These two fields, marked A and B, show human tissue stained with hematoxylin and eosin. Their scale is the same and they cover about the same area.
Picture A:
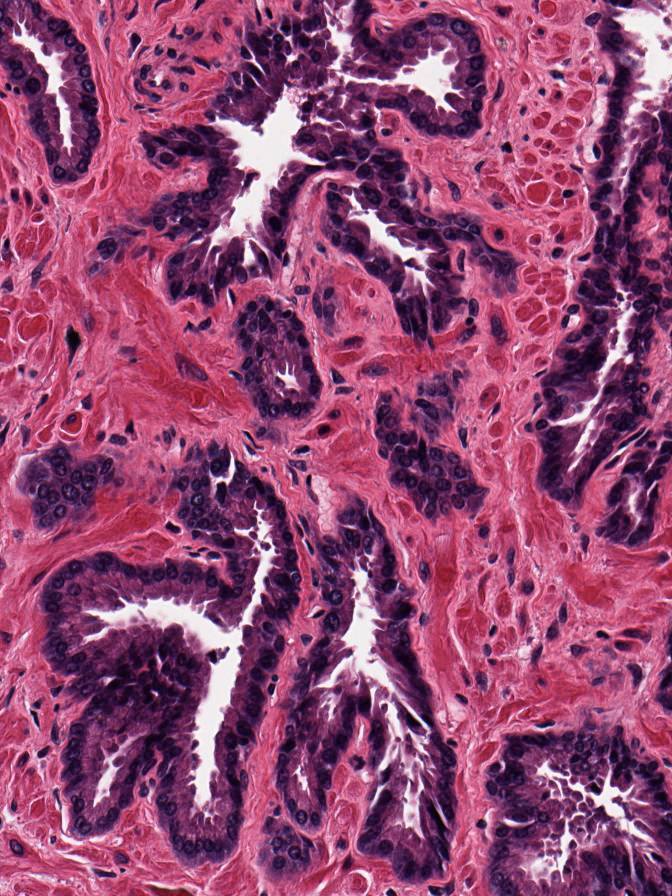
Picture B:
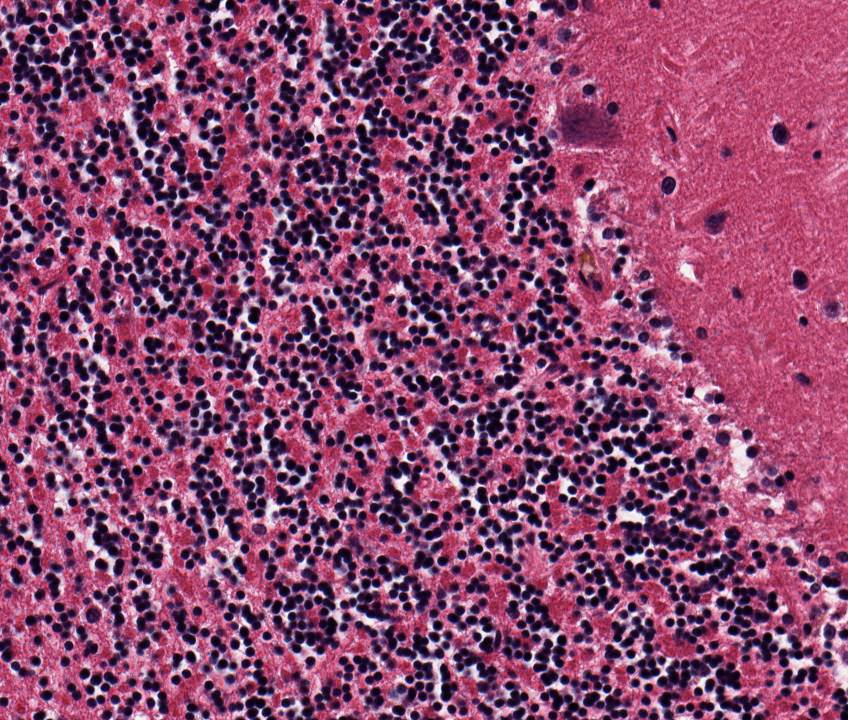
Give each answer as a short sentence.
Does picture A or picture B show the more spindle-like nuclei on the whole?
On the whole the nuclei of picture A are more drawn out than those of picture B.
